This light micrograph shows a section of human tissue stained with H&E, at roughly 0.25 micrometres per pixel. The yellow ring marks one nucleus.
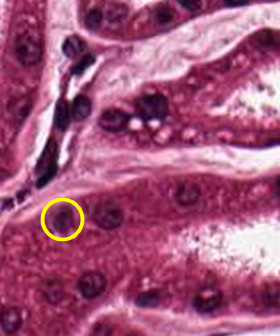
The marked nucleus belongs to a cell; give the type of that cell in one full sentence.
The nucleus carrying the mark is the nucleus of a proximal tubule cell.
